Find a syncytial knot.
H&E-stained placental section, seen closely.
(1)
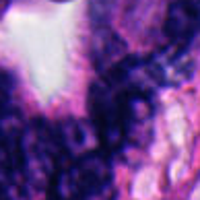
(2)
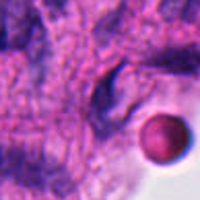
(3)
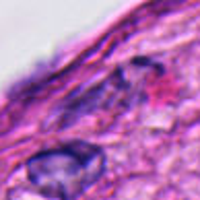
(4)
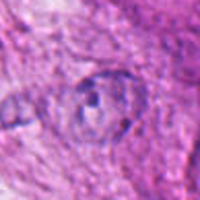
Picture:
1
